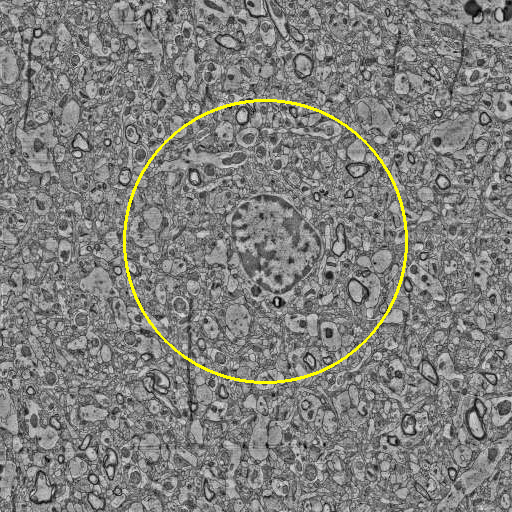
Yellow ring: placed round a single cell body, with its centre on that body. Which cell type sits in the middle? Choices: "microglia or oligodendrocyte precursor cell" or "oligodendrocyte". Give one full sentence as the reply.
It is a microglial cell or oligodendrocyte precursor cell whose cell body sits at the centre of the yellow ring.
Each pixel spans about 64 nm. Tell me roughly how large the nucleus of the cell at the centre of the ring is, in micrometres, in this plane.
About 6 micrometres across in this plane.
